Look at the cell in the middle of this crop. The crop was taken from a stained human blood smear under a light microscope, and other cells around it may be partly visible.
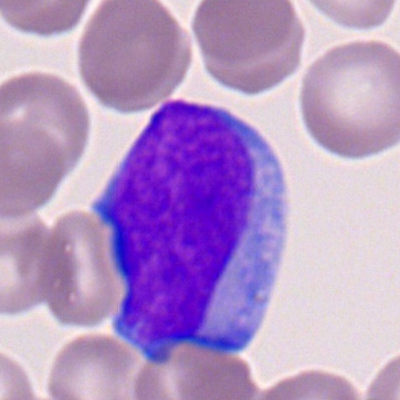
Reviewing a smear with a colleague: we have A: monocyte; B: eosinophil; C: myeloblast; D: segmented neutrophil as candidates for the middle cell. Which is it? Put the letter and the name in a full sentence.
The cell at the centre, correctly named in option C, is a myeloblast.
